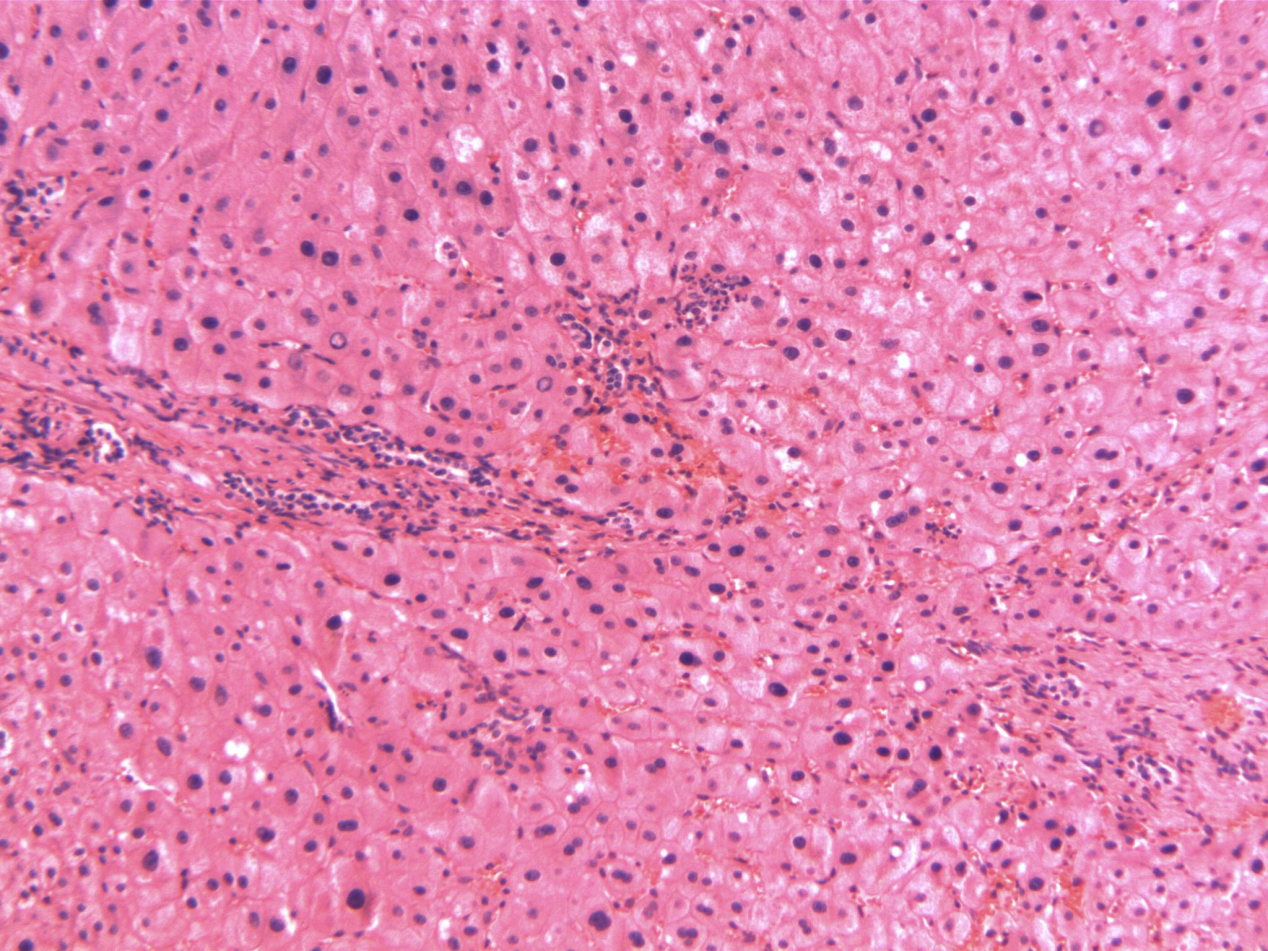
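Liver tissue in which hepatocytes make up nearly the whole field. The hepatocytes are large and polygonal, with abundant pink, finely granular cytoplasm and round, centrally placed dark nuclei. The cells lie in plates separated by narrow sinusoids that hold red blood cells. A few cells contain small clear vacuoles. A thin band of connective tissue with small, dark, round inflammatory cells crosses the field from the left toward the centre.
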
